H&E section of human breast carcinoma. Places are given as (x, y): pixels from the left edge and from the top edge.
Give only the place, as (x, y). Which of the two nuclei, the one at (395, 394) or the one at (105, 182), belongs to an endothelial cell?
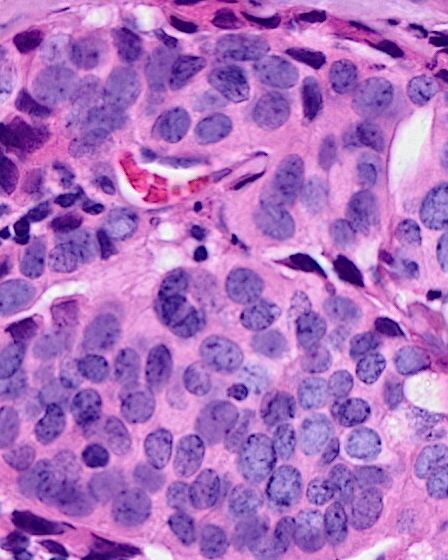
(105, 182)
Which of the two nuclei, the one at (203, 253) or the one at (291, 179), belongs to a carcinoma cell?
(291, 179)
